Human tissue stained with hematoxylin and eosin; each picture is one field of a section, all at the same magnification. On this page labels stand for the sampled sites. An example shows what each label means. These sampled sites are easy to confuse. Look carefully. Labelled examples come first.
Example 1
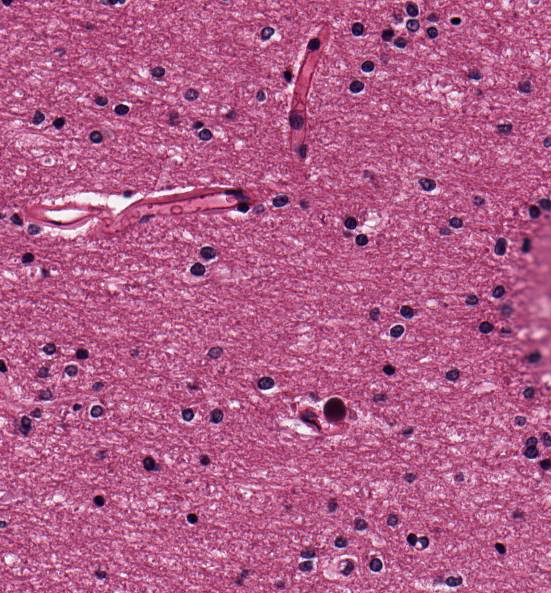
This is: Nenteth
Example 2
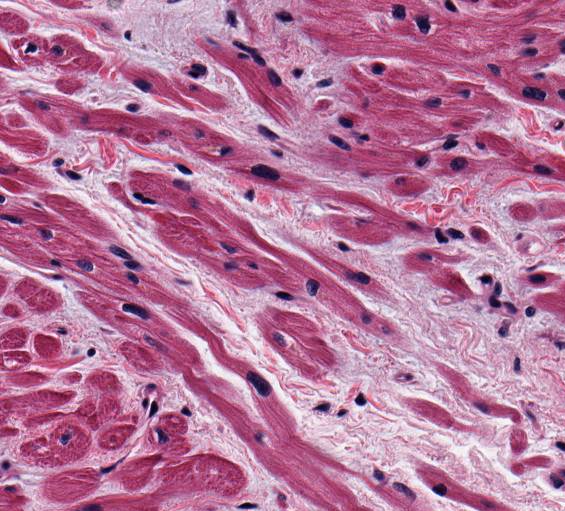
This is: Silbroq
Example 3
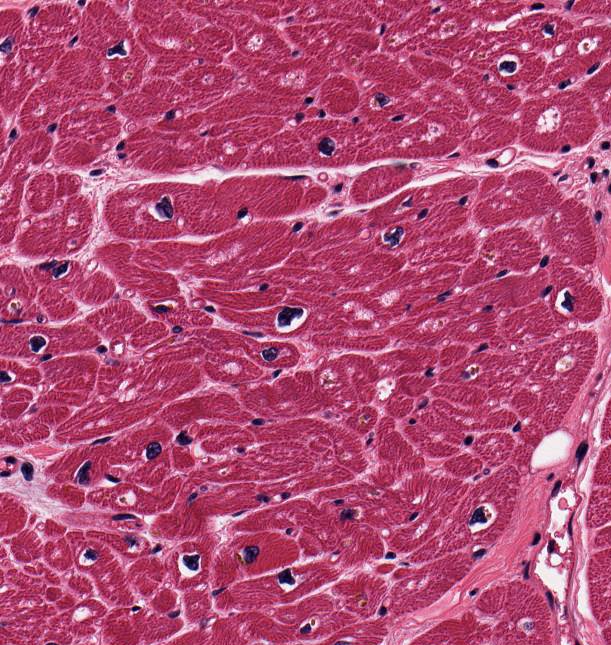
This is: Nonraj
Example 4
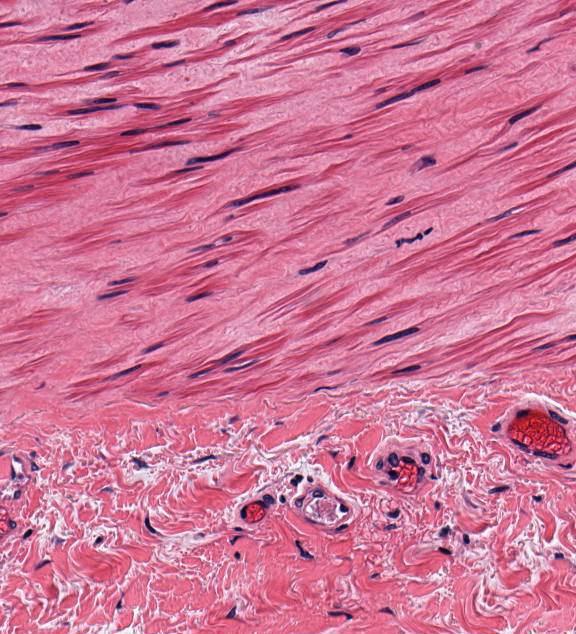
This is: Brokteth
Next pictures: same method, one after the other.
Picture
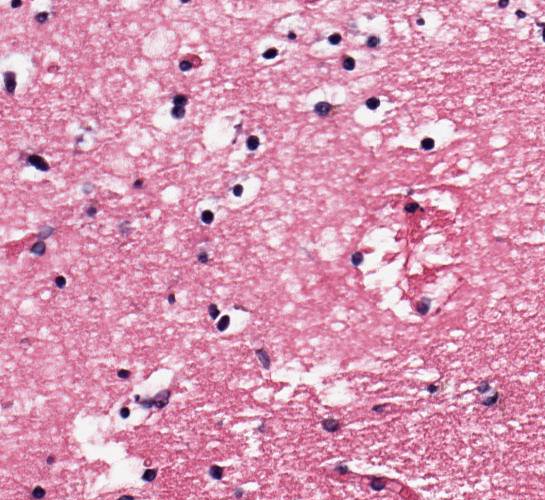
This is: Nenteth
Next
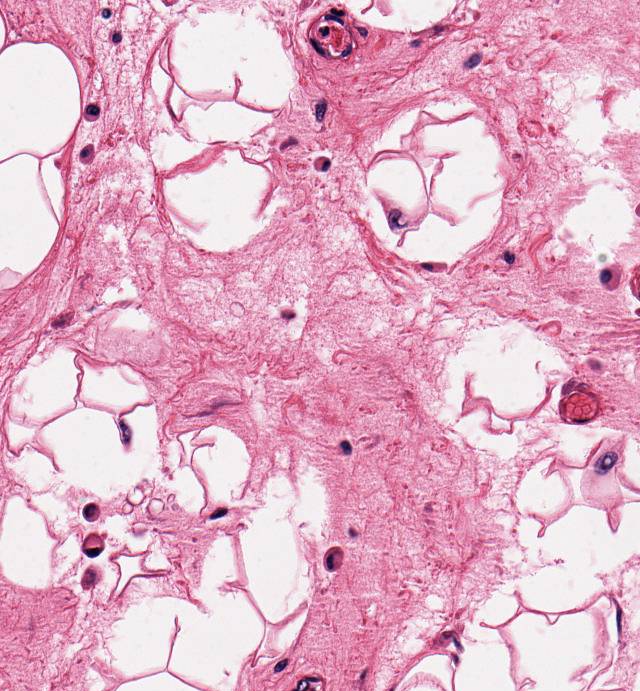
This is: Nonraj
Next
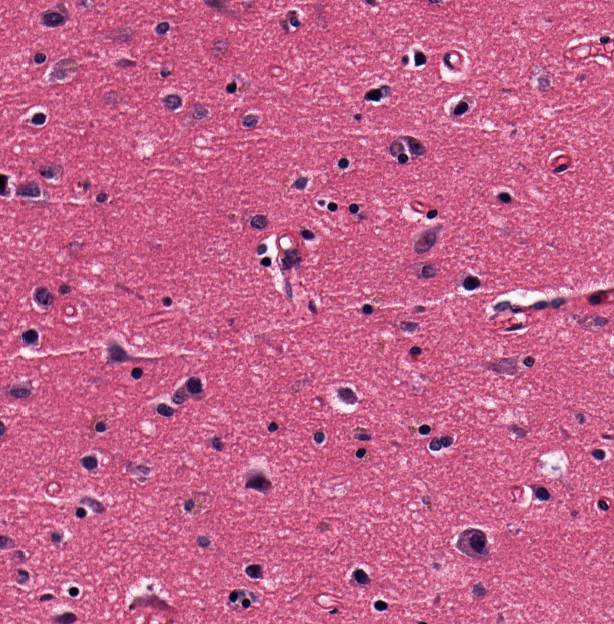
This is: Nenteth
